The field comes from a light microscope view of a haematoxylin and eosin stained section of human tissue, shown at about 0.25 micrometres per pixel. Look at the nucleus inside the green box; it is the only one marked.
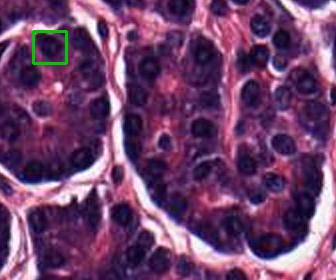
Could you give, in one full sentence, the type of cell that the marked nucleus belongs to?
The marked nucleus is the nucleus of a pancreatic acinar cell.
